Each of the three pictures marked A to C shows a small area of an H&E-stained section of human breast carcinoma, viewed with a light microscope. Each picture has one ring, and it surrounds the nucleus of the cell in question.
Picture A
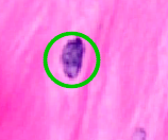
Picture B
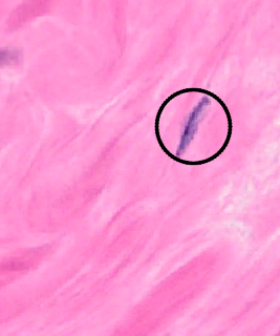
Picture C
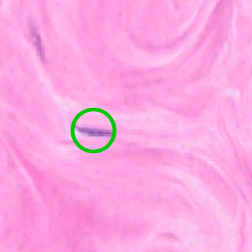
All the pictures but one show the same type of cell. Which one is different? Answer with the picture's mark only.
A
